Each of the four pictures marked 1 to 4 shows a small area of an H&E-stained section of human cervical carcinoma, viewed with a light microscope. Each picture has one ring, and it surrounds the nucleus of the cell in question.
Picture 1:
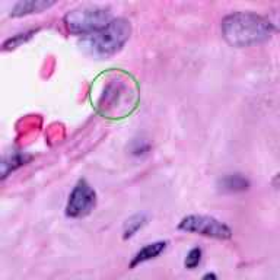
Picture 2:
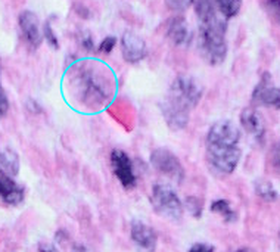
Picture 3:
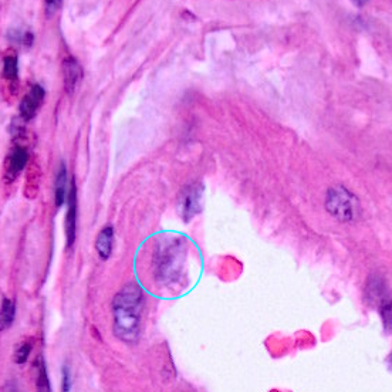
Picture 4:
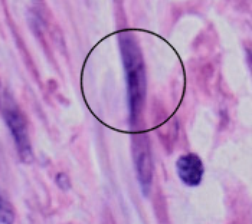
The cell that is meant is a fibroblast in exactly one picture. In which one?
4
